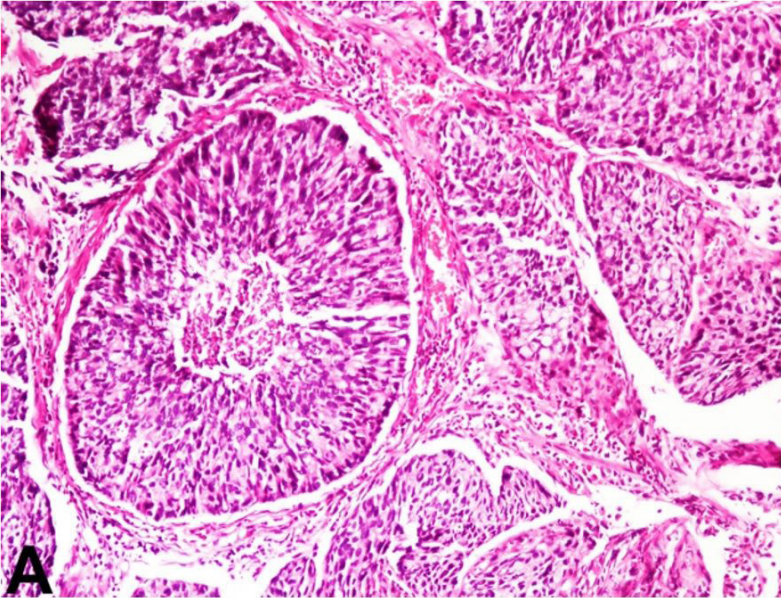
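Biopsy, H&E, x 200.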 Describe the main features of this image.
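Large rounded nests of tumor cells fill this field, bounded by thin bands of pink fibrous stroma. The cells are crowded, with elongated dark purple nuclei and scant cytoplasm, and those at the edge of the largest nest line up radially toward its centre. The middle of this nest is paler and loosened, with scattered debris, rather than being filled by intact cells. Some neighbouring nests contain cells with clear, bubbly cytoplasm. Together these are solid nests of carcinoma with a central comedo-like necrosis.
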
